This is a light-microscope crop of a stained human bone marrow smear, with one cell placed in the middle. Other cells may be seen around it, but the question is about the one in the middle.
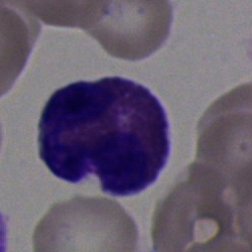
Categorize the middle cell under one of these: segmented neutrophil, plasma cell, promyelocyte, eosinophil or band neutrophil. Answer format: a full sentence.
The crop's centre is taken up by an eosinophil.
